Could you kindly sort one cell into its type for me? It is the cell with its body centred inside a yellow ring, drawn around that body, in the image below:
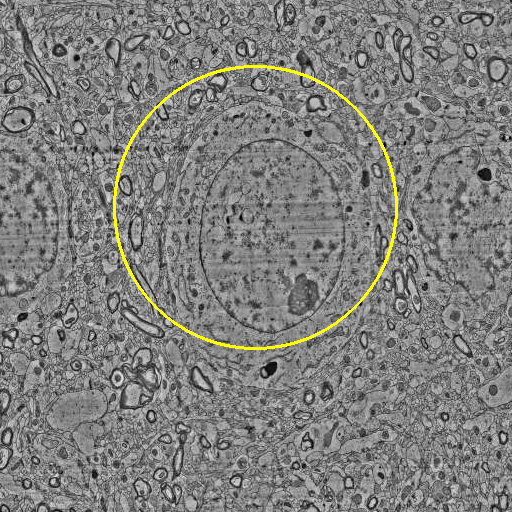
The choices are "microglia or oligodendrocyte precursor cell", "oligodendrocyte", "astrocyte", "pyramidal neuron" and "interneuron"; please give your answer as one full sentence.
The cell whose body lies centred in the yellow ring here is a pyramidal neuron.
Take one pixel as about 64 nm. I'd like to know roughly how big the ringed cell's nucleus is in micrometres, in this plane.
About 12 micrometres by about 9 micrometres in this plane.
